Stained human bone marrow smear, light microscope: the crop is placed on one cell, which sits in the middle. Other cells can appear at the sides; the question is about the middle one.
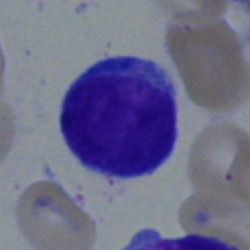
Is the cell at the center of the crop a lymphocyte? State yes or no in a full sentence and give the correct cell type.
No, the central cell here is a blast; calling it a lymphocyte is not right.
